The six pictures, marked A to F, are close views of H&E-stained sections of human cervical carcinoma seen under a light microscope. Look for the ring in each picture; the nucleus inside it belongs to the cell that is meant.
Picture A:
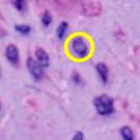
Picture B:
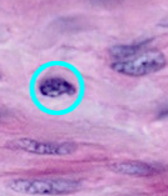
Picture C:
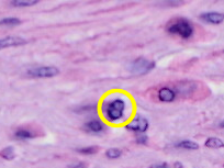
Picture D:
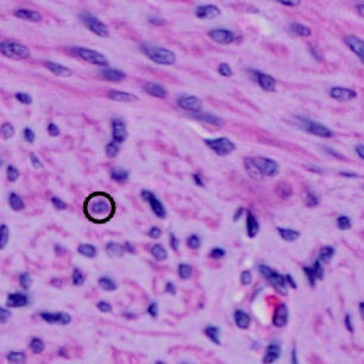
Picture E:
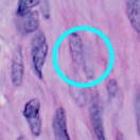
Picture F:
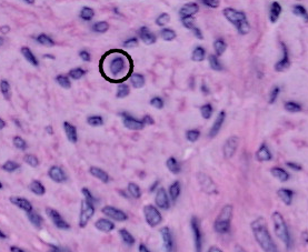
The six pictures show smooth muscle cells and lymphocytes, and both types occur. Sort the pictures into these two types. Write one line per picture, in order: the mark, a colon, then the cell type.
A: smooth muscle cell
B: lymphocyte
C: lymphocyte
D: smooth muscle cell
E: smooth muscle cell
F: smooth muscle cell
